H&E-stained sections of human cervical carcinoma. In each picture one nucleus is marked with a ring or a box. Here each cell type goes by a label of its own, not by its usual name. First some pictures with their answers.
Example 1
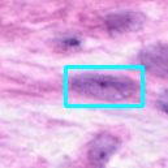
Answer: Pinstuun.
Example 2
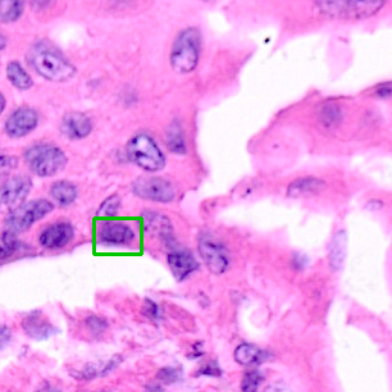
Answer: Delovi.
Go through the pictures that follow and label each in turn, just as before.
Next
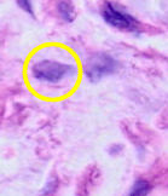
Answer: Pinstuun.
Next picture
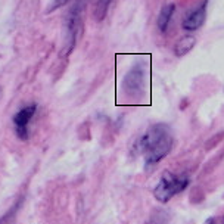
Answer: Pinstuun.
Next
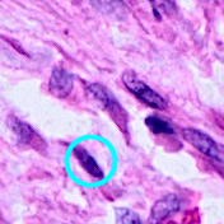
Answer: Pinstuun.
